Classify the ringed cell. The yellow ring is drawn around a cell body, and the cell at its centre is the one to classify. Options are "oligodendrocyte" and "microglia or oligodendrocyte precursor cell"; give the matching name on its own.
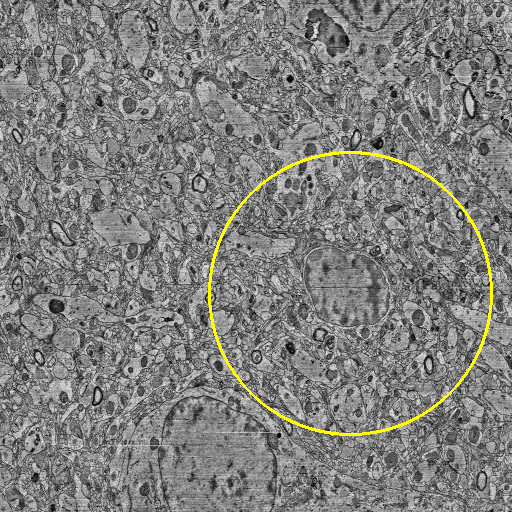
microglia or oligodendrocyte precursor cell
